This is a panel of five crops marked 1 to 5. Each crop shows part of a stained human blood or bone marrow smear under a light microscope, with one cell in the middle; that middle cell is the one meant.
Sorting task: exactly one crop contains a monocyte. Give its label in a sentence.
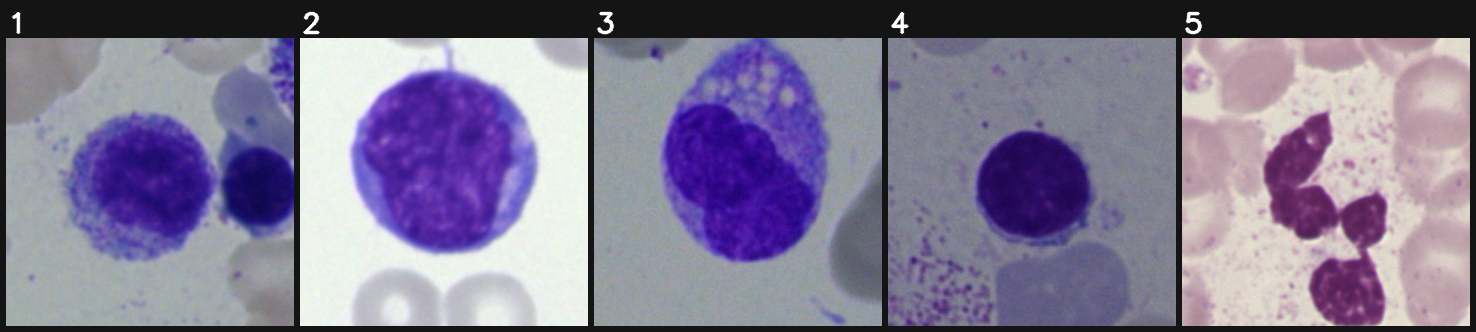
Crop 3 is the one that shows a monocyte.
